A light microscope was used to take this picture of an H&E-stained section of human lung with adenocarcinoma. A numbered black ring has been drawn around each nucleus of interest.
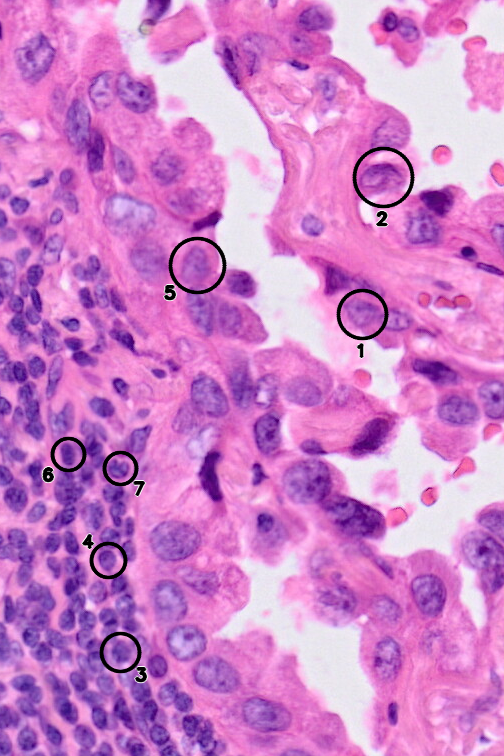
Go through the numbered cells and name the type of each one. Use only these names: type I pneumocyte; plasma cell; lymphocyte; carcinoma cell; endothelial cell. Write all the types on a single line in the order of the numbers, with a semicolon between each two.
carcinoma cell; carcinoma cell; lymphocyte; lymphocyte; carcinoma cell; lymphocyte; lymphocyte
